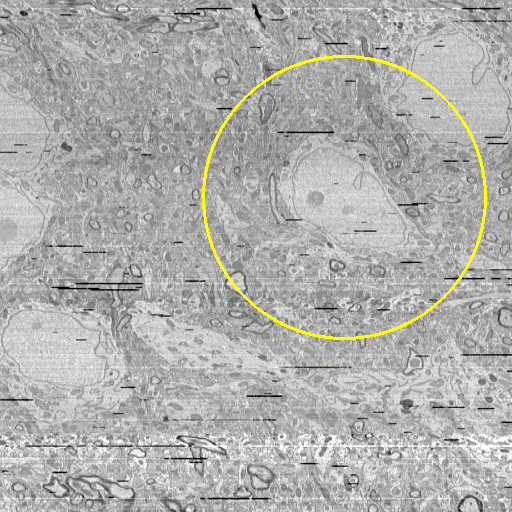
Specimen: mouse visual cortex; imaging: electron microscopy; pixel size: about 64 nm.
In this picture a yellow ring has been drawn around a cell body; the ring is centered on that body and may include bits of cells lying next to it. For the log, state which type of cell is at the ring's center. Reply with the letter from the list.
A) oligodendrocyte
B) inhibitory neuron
B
